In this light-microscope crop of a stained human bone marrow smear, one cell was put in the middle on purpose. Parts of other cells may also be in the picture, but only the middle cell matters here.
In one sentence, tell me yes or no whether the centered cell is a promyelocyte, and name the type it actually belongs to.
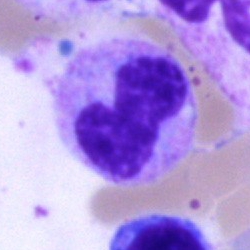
No, the cell under consideration is a monocyte instead of a promyelocyte.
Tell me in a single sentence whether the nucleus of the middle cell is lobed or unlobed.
One compact mass makes up the whole nucleus, round, oval or kidney-shaped.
